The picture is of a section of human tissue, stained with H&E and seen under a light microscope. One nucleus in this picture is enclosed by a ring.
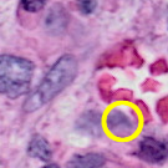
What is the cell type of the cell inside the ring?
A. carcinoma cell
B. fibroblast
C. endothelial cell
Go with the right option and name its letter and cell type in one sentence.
With the cell inside the ring being an endothelial cell, option C is correct.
